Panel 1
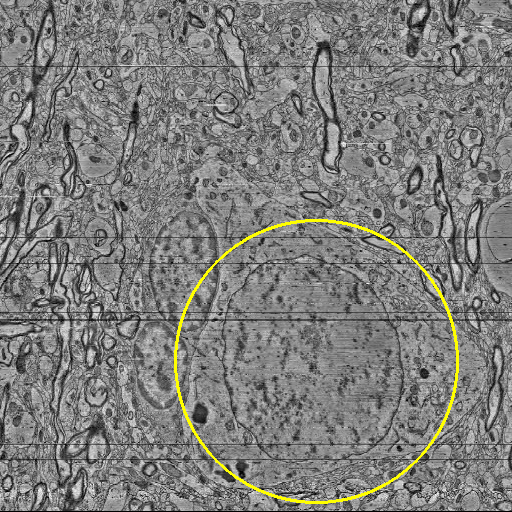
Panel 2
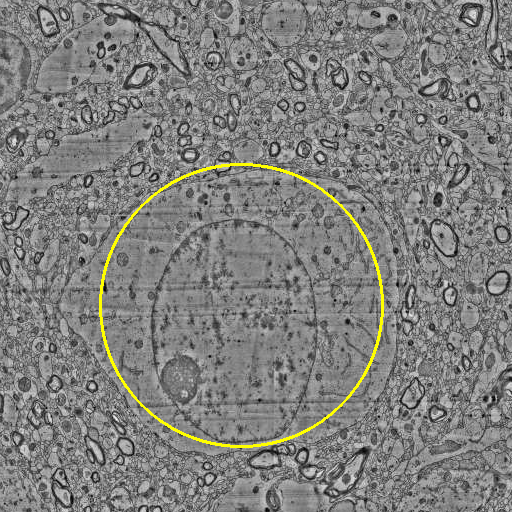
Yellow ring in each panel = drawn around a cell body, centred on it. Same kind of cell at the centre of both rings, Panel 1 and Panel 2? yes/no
yes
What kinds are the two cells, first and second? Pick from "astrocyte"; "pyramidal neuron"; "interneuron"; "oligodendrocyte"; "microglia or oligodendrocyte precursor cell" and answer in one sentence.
Both pictures show a pyramidal neuron at the centre of the ring.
